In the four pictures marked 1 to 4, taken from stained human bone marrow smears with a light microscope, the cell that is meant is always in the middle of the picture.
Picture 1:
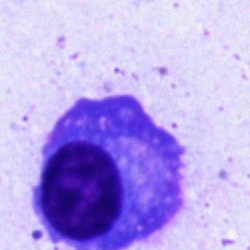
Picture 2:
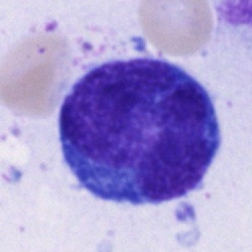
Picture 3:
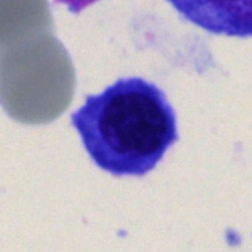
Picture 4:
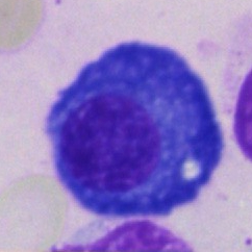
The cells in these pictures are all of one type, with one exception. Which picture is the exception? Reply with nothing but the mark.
2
